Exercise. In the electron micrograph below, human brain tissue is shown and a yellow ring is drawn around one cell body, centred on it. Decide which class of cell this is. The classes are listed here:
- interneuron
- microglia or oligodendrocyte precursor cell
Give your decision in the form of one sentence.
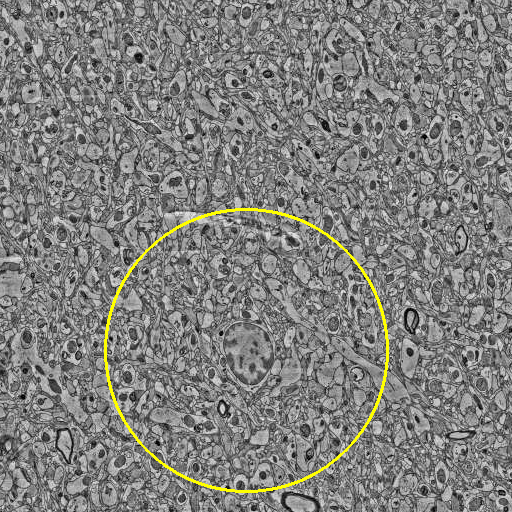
The cell body marked by the ring belongs to a microglial cell or oligodendrocyte precursor cell.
